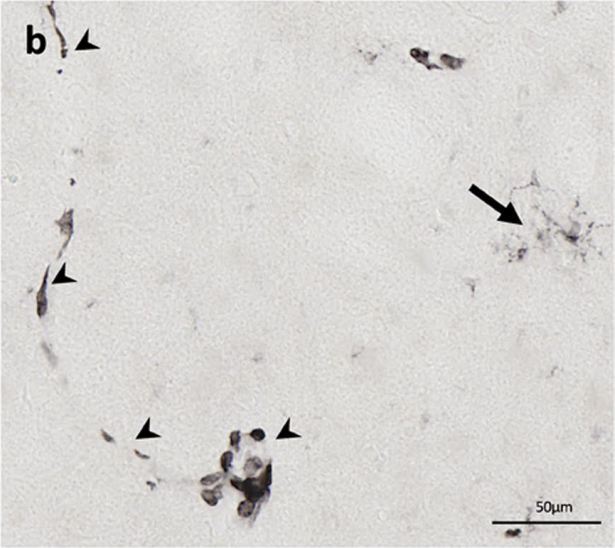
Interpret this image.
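Brain tissue with dark brown-black stained cells in two settings. Along the left and lower part of the field, elongated stained cells follow a curving track that traces a small vessel, with a compact cluster of rounded, darkly stained cells at one point along it. These vessel-associated cells are smooth and lack fine branches. In the parenchyma on the right, a single stained microglial cell shows a small body with delicate, branching processes spreading into the surrounding tissue. A few other small stained profiles are scattered elsewhere. The background neuropil is pale and unstained.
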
